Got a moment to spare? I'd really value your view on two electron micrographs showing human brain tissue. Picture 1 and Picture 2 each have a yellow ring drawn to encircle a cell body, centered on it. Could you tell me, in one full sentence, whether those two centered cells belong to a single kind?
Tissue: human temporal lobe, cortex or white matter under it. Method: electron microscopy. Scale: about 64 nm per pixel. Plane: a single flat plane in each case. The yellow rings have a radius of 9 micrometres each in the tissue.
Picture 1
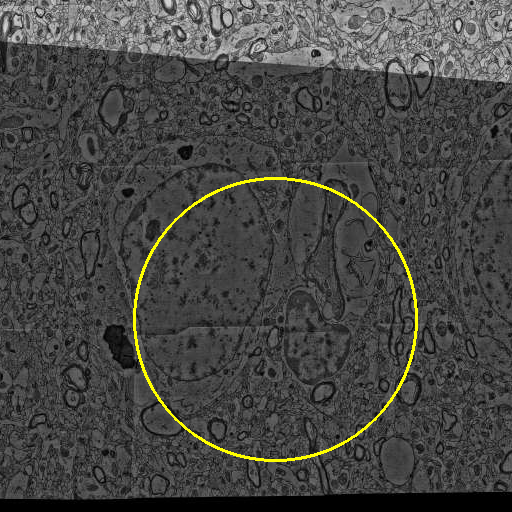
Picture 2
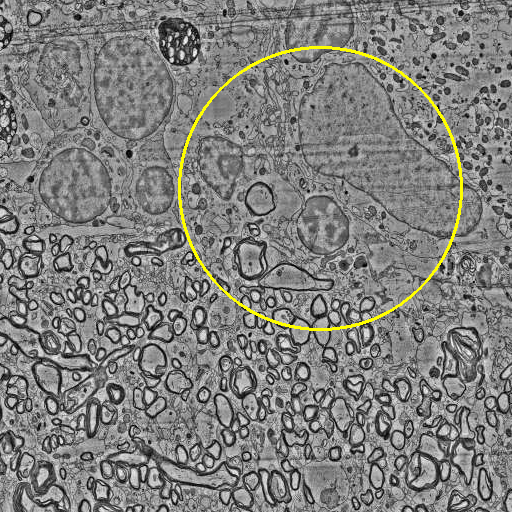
Yes, the two centered cells in Picture 1 and Picture 2 are of a single kind.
